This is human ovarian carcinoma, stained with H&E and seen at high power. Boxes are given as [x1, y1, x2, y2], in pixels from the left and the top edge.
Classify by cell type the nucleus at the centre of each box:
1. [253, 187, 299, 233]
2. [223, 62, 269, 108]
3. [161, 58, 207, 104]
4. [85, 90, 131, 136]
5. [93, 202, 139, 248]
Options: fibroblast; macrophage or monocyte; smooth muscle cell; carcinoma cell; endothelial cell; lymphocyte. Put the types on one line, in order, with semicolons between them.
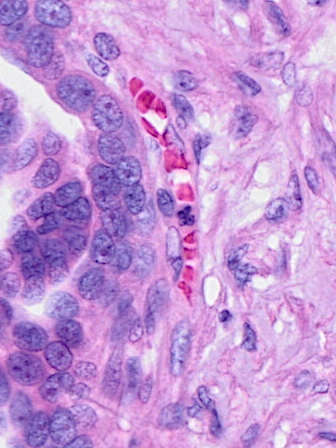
fibroblast; fibroblast; fibroblast; carcinoma cell; carcinoma cell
